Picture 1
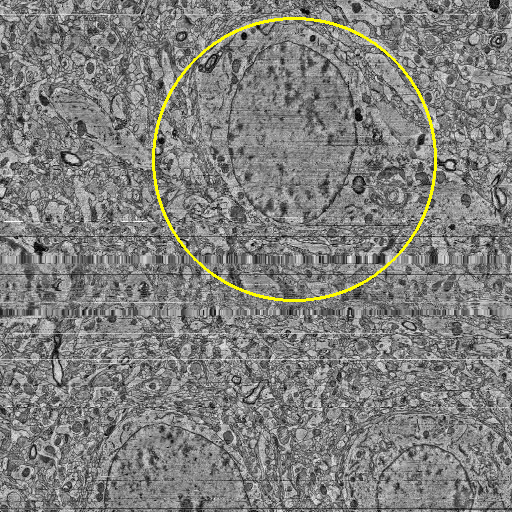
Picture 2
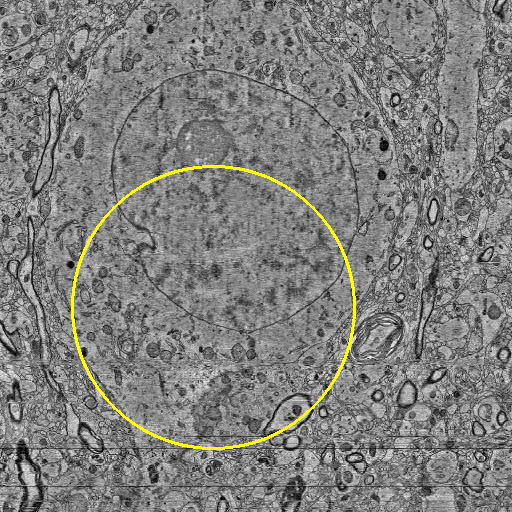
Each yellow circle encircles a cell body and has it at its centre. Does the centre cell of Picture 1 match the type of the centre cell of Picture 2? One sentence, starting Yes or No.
Yes, the cell centred in Picture 1 and the one in Picture 2 share a type.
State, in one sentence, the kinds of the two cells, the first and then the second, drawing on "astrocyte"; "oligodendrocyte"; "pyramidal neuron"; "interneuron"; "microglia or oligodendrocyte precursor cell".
Each cell at the centre of a ring is a pyramidal neuron.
